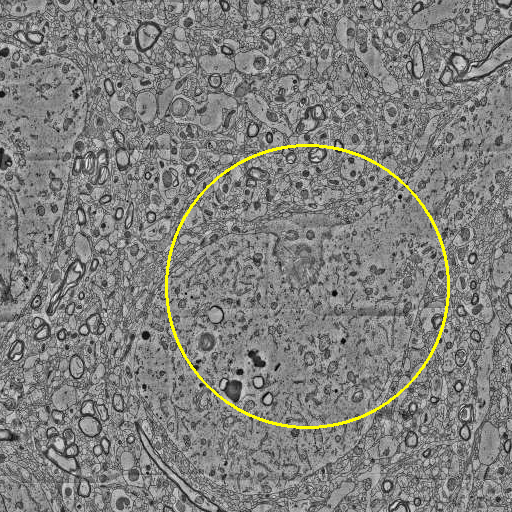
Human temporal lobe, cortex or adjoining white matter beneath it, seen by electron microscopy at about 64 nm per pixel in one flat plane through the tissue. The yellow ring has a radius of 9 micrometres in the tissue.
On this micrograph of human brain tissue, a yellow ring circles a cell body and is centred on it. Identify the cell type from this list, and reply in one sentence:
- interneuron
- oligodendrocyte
The cell at the centre is an oligodendrocyte.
